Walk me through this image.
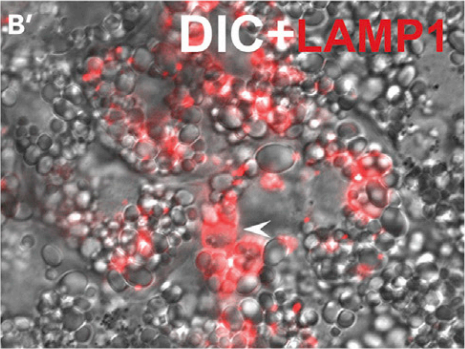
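Nearly the whole field is packed with round and oval refractile bodies of varied sizes, the yolk platelets held in the embryonic cells. The platelets lie closely side by side with little space between them. Red fluorescence appears in patches and rings among the platelets rather than evenly over the field.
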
